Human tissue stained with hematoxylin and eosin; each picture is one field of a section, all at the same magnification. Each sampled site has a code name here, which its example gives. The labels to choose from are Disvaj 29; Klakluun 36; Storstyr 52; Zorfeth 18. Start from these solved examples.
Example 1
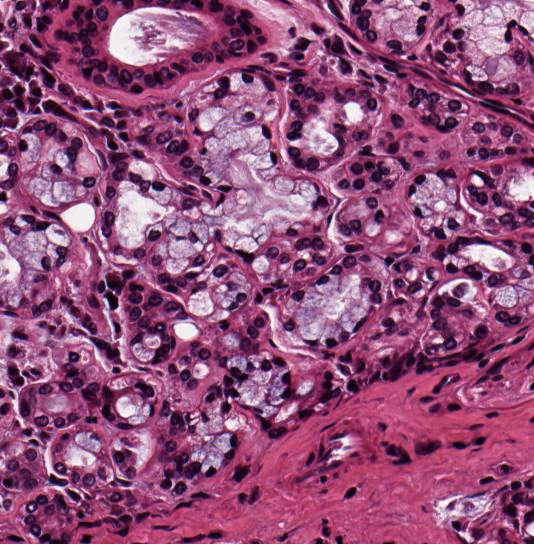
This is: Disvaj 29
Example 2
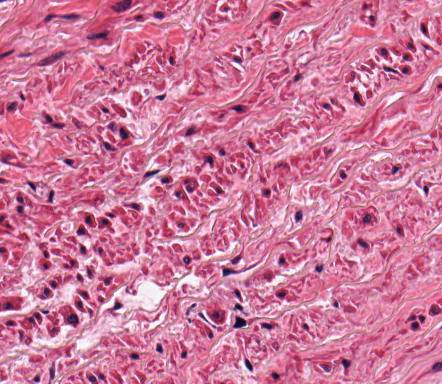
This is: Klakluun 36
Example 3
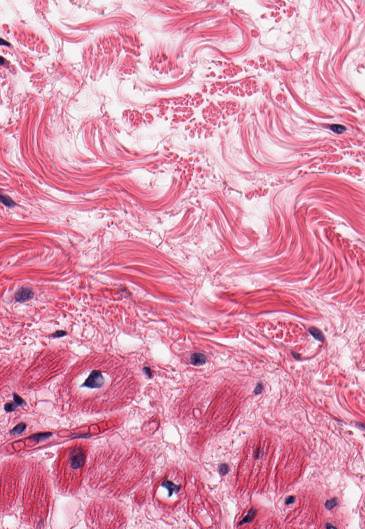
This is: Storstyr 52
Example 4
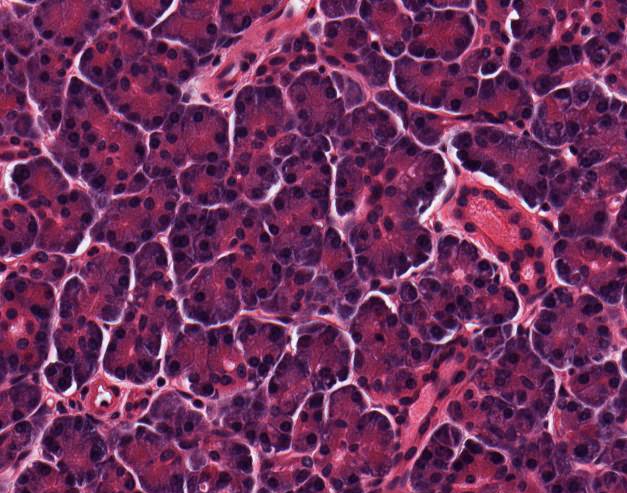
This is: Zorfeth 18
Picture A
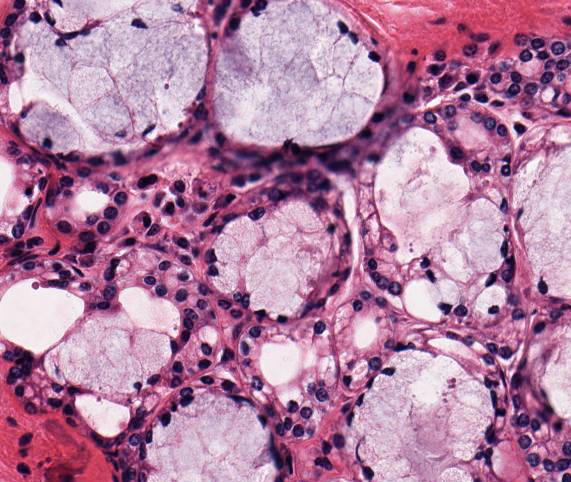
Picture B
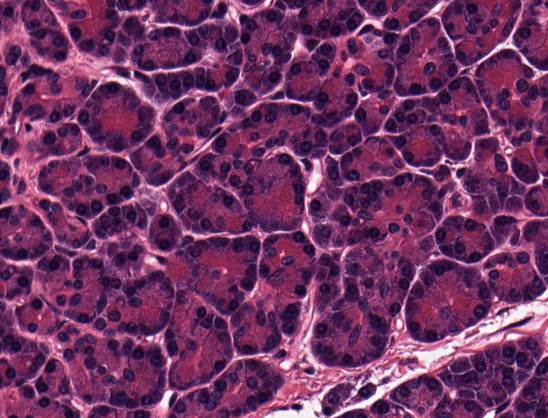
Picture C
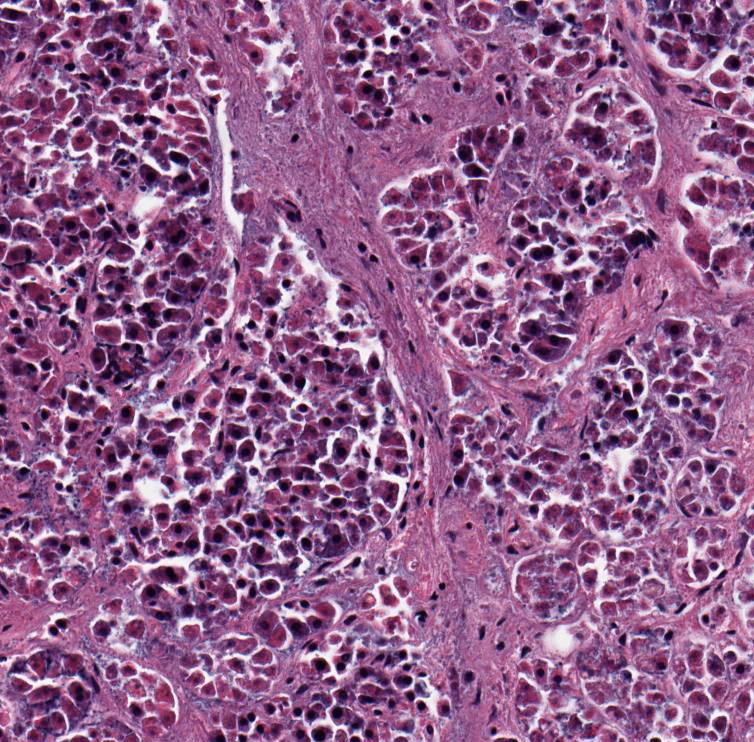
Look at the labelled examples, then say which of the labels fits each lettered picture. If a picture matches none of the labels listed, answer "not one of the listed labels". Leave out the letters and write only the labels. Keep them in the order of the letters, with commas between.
Disvaj 29, Zorfeth 18, Zorfeth 18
